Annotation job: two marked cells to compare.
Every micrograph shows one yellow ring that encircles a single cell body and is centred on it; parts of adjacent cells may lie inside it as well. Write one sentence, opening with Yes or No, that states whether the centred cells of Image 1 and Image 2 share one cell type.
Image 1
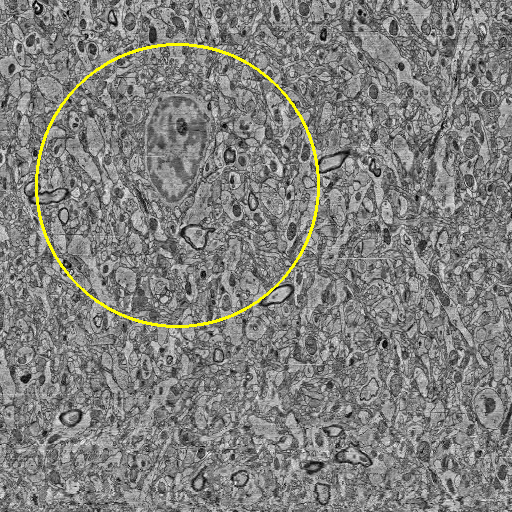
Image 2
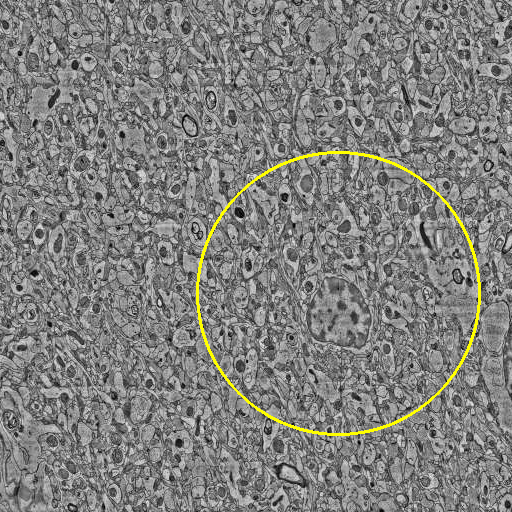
No, the cell centred in Image 1 and the cell centred in Image 2 are of two types.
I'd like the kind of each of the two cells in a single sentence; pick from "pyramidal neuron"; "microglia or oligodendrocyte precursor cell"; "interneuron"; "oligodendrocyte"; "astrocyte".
The first ring marks an oligodendrocyte, and the second ring marks a microglial cell or oligodendrocyte precursor cell.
